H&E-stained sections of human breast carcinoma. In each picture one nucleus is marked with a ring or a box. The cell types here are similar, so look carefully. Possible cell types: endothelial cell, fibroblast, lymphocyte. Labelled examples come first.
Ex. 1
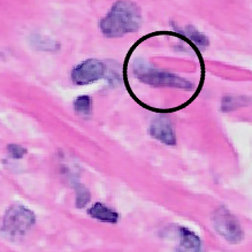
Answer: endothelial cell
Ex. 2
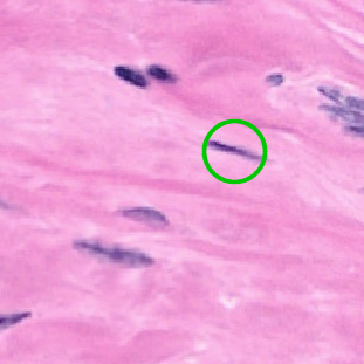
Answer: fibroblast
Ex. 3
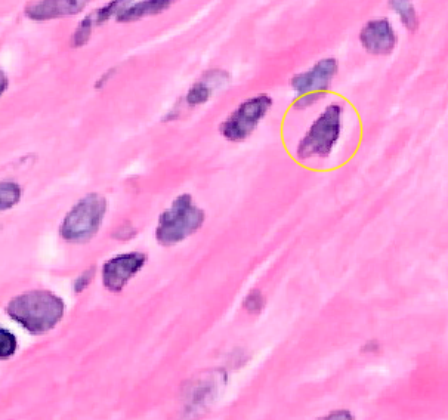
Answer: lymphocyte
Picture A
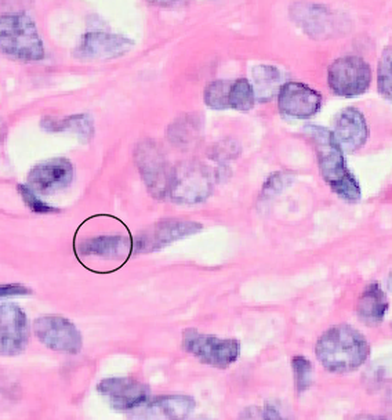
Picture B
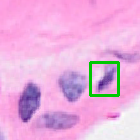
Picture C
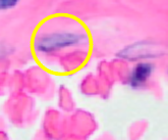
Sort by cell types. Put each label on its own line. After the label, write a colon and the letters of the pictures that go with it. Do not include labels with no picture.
endothelial cell: A, B, C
